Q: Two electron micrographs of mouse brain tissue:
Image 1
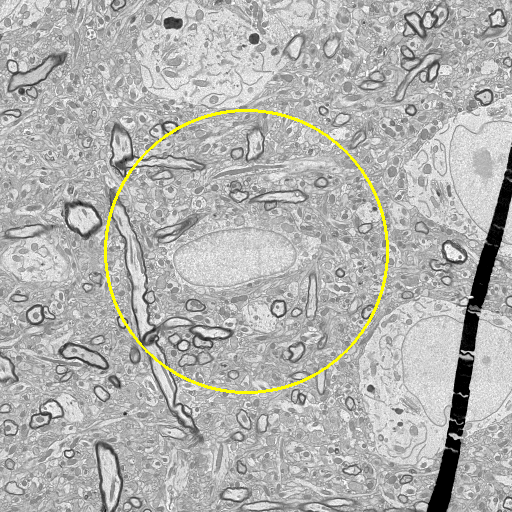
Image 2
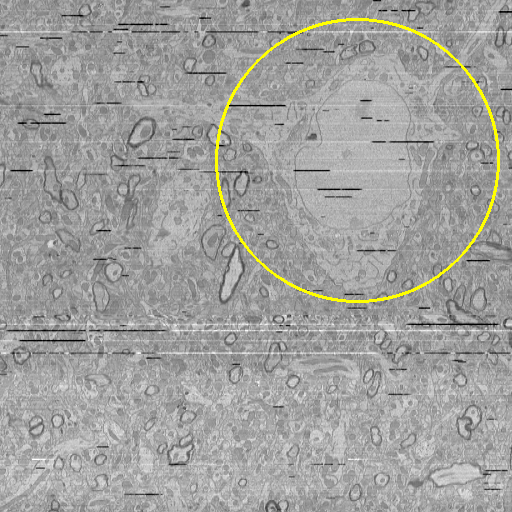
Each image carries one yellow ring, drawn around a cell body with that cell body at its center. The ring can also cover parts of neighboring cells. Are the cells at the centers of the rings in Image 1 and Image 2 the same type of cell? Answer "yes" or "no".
no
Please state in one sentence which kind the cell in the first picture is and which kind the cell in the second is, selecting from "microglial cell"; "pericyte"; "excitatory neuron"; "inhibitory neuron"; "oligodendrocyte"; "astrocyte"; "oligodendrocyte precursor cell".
The first ringed cell is an astrocyte, the second ringed cell an excitatory neuron.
